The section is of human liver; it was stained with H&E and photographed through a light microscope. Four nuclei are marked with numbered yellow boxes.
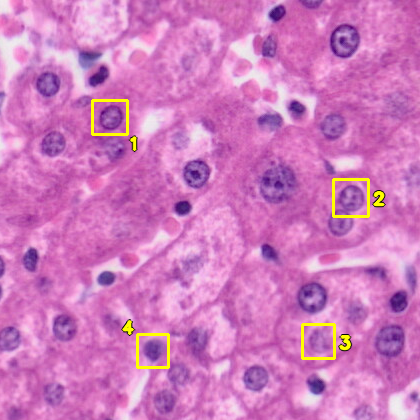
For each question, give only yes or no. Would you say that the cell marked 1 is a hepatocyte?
yes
